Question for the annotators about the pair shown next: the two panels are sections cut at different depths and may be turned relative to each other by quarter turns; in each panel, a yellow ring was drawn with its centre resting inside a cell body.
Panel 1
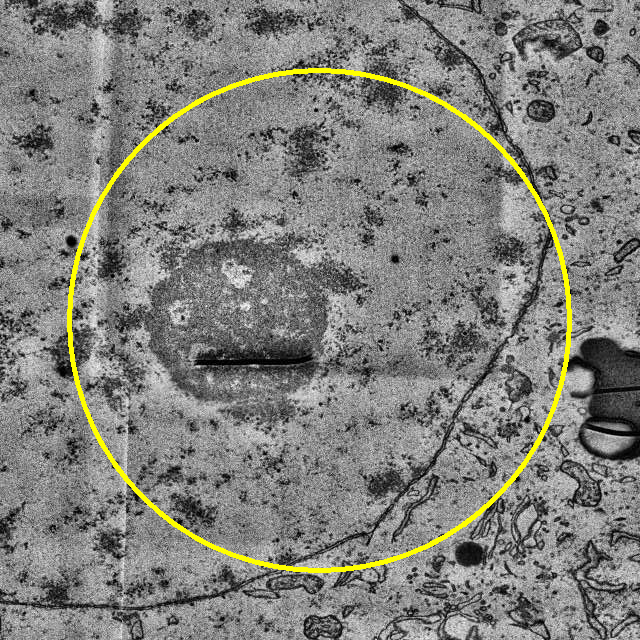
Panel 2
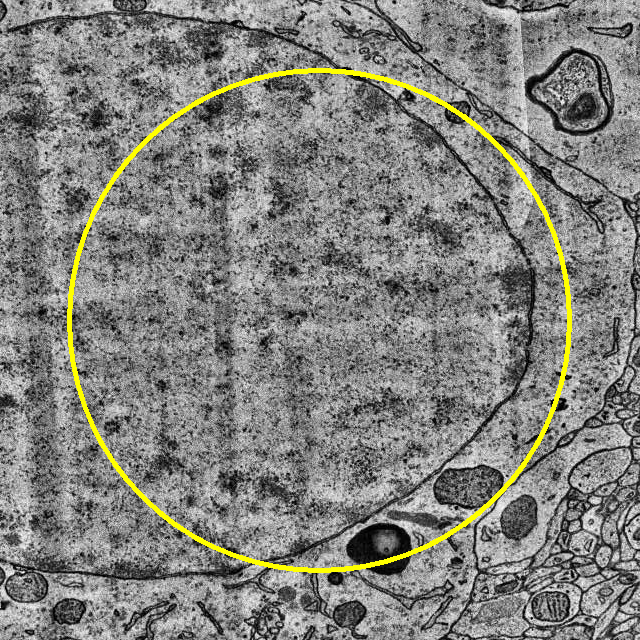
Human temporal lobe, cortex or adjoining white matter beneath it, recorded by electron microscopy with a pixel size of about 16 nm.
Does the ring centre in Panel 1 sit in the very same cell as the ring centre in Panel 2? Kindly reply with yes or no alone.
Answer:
no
